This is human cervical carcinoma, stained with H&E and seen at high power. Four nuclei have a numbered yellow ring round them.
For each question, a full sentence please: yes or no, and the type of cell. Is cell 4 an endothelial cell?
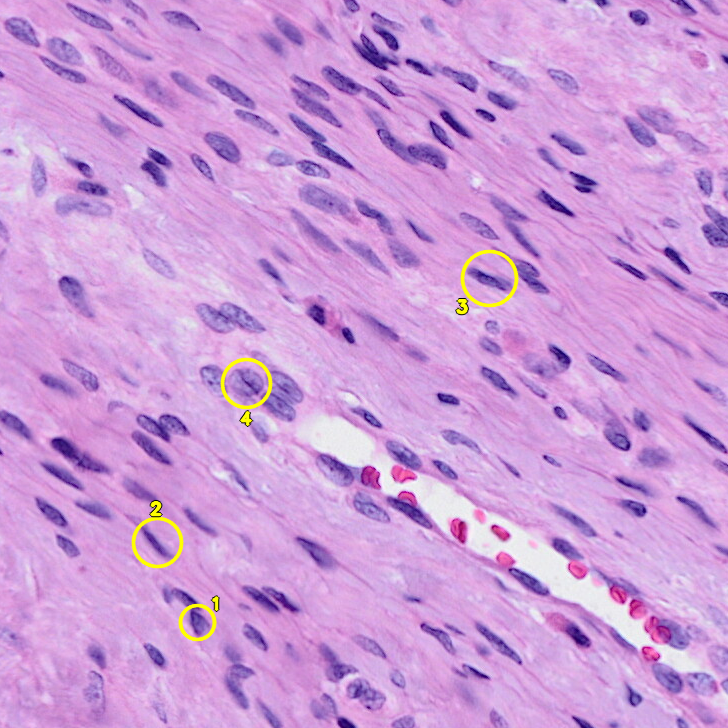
Yes, the cell marked with number 4 is an endothelial cell.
